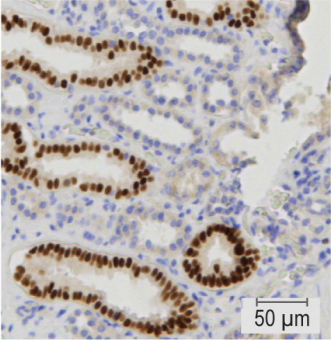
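Kidney tissue with several tubules lined by a single layer of cuboidal epithelial cells around open lumina. The nuclei of this lining epithelium are stained intensely dark brown, whereas the surrounding interstitial and other cells show only blue counterstained nuclei.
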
